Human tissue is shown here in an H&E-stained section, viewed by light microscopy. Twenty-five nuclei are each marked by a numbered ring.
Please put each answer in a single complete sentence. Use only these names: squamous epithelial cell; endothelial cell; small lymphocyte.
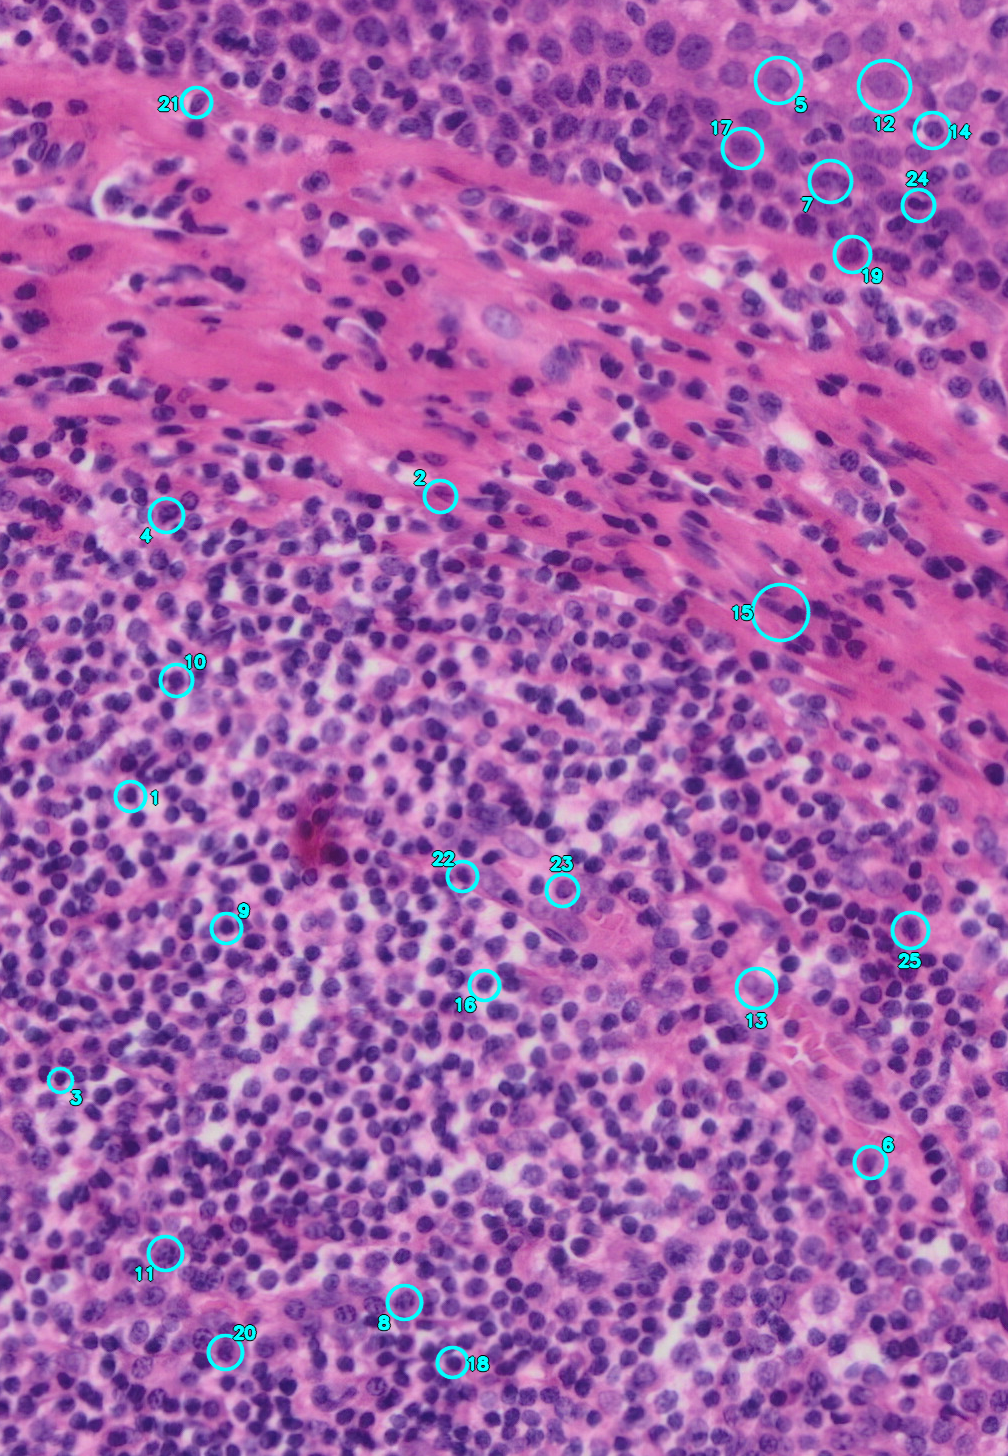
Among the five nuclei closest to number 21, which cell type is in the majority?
Most of the five nuclei nearest to number 21 are those of squamous epithelial cells.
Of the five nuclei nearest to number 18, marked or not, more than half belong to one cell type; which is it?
Around number 18, most of the five nearest nuclei are those of small lymphocytes.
